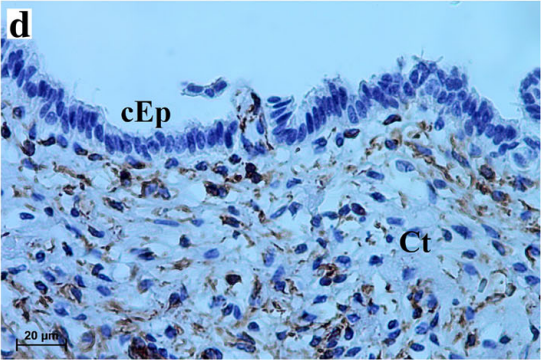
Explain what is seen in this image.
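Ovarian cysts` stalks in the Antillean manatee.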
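A columnar epithelium lines the surface, its tall cells with elongated blue nuclei and no brown stain. Below it lies a loose connective tissue full of spindle-shaped and stellate cells whose cytoplasm and thin processes are stained brown. These brown cells are densely scattered through the pale matrix right up beneath the epithelium, and a small projection of this tissue reaches into the surface layer.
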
